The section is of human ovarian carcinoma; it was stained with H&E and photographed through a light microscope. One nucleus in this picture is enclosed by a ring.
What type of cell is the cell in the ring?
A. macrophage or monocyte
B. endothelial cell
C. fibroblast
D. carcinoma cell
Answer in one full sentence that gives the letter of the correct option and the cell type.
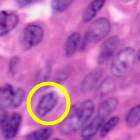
In this section the cell in the ring is a macrophage or monocyte; option A is therefore correct.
